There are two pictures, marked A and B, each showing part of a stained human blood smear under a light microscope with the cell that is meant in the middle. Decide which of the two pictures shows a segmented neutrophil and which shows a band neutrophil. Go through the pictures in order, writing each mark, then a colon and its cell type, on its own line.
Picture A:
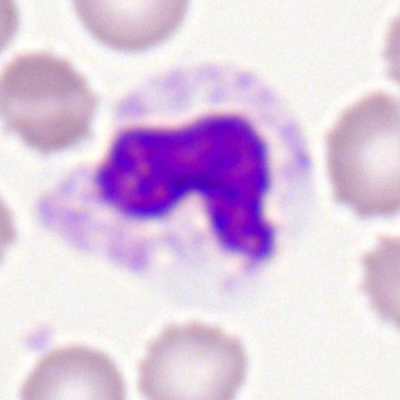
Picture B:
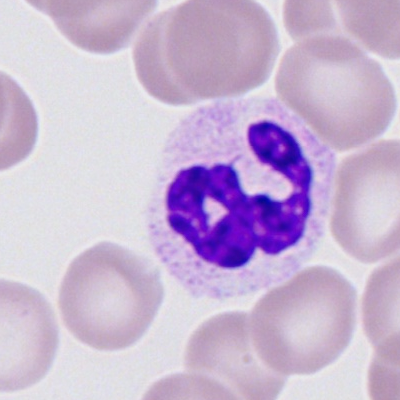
A: band neutrophil
B: segmented neutrophil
